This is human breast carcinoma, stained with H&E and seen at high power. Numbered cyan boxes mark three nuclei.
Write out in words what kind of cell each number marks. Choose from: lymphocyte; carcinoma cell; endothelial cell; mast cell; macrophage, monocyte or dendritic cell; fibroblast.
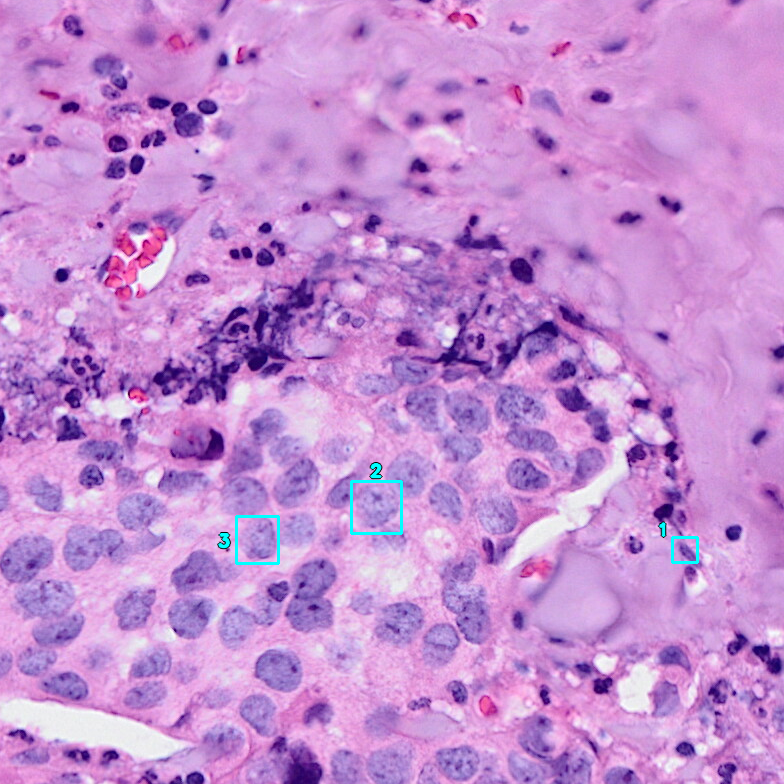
Cell 1 is a fibroblast. Cells 2 and 3 are carcinoma cells.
